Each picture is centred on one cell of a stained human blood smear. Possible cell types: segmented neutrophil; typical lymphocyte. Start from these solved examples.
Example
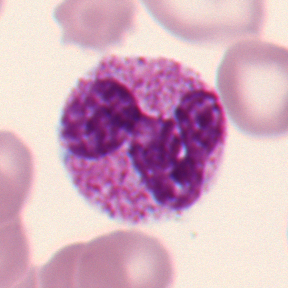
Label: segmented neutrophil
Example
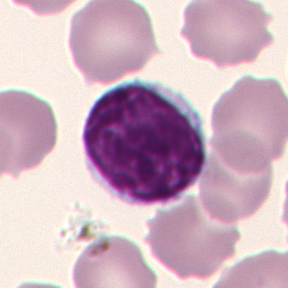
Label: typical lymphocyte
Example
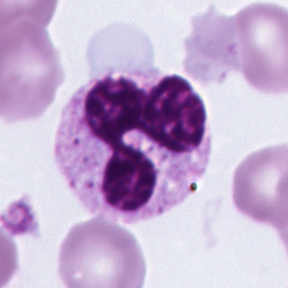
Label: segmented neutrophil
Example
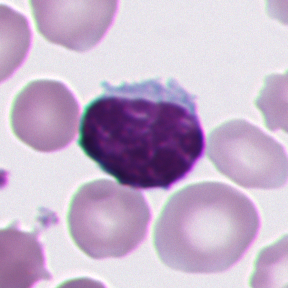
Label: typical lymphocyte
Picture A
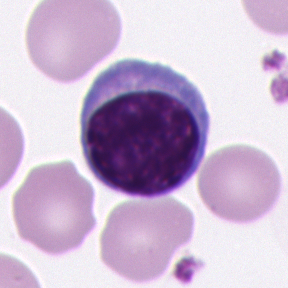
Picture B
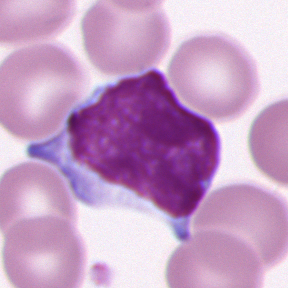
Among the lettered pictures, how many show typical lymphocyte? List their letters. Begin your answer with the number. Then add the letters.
2: A, B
